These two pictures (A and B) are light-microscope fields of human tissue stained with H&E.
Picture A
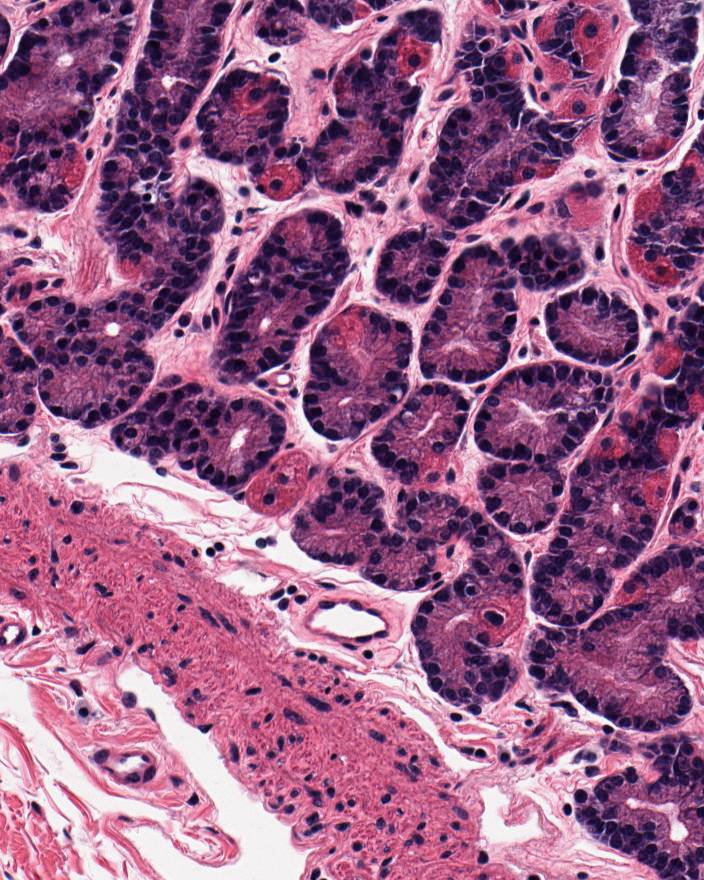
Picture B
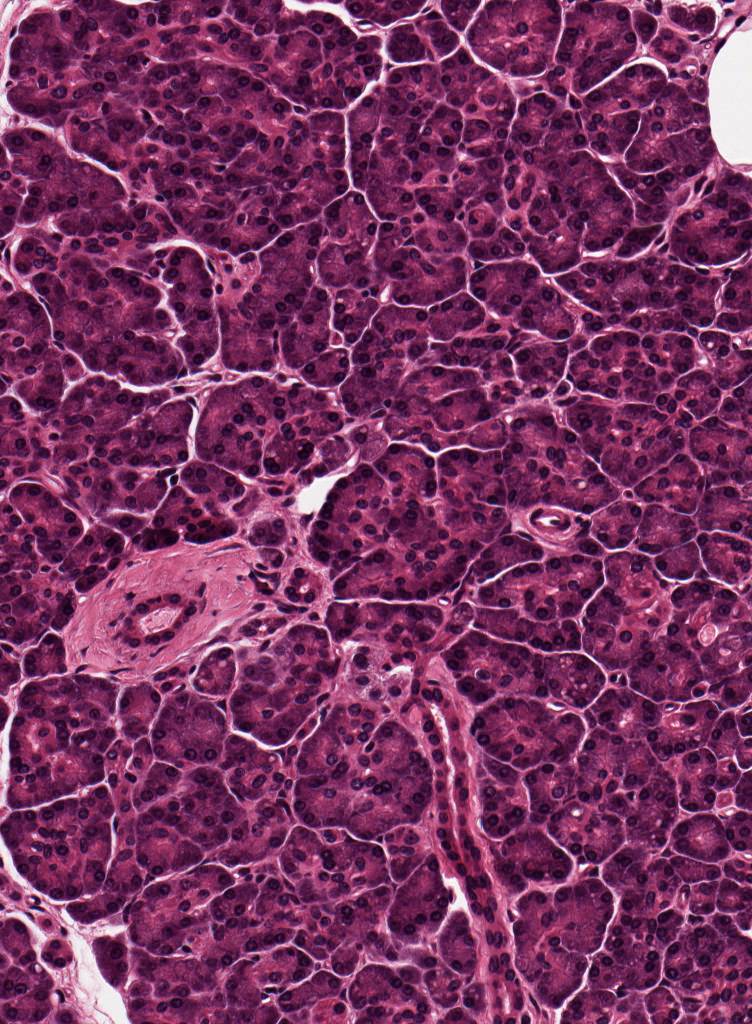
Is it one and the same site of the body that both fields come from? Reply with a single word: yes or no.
no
